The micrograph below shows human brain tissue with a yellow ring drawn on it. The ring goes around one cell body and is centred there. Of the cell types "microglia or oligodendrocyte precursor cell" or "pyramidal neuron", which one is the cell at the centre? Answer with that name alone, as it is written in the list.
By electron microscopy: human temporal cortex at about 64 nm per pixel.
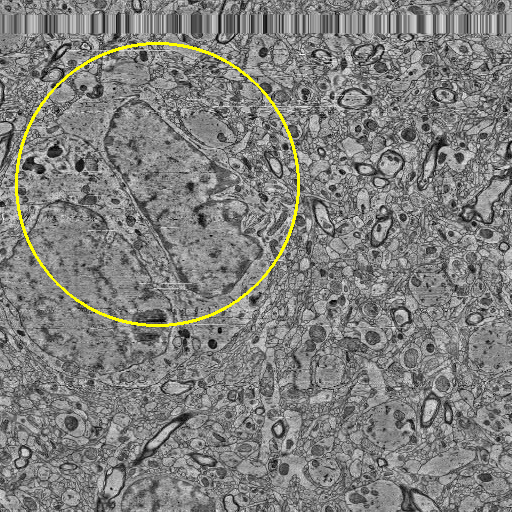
microglia or oligodendrocyte precursor cell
